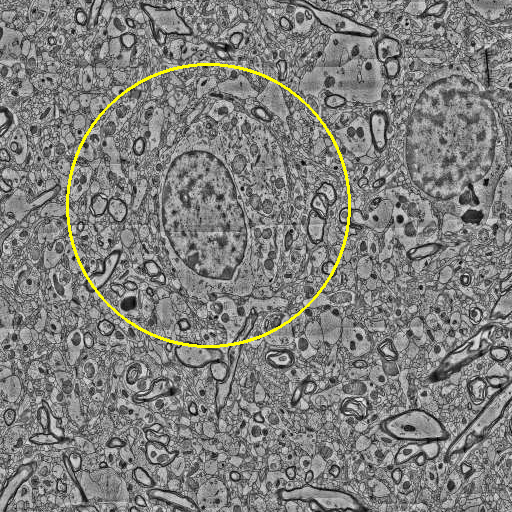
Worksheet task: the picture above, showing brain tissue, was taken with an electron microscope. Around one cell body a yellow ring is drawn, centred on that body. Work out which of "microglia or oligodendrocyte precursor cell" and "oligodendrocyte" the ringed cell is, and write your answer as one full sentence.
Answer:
It is a microglial cell or oligodendrocyte precursor cell whose cell body lies at the centre of the yellow ring.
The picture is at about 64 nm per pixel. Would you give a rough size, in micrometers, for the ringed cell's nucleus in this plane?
About 8 by 5 micrometers; the nucleus is clearly longer than it is wide in this plane.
